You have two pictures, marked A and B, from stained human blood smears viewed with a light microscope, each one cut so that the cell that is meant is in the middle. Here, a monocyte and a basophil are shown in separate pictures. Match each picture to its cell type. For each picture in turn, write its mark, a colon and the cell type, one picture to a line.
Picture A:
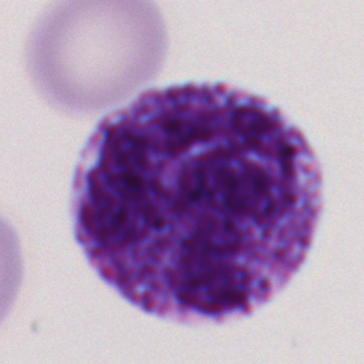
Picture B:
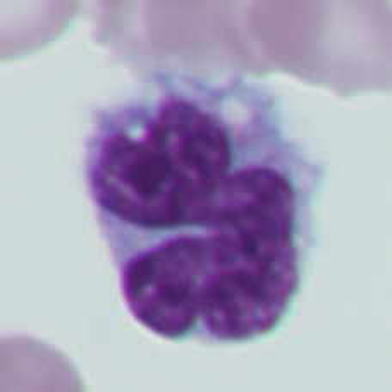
A: basophil
B: monocyte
